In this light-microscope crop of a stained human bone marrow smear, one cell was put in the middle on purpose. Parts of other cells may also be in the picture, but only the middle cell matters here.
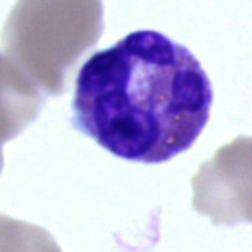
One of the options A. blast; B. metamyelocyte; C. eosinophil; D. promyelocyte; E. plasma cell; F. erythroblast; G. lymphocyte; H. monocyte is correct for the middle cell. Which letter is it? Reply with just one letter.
C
